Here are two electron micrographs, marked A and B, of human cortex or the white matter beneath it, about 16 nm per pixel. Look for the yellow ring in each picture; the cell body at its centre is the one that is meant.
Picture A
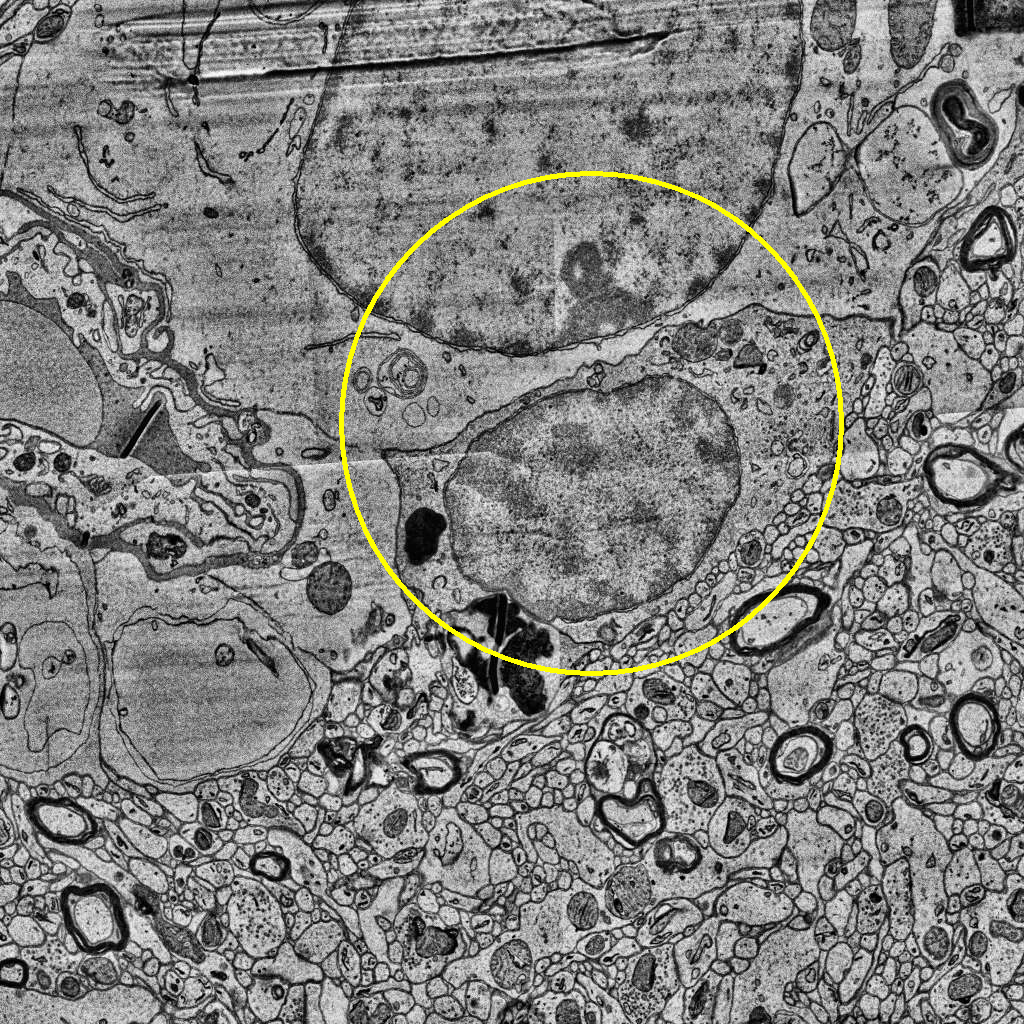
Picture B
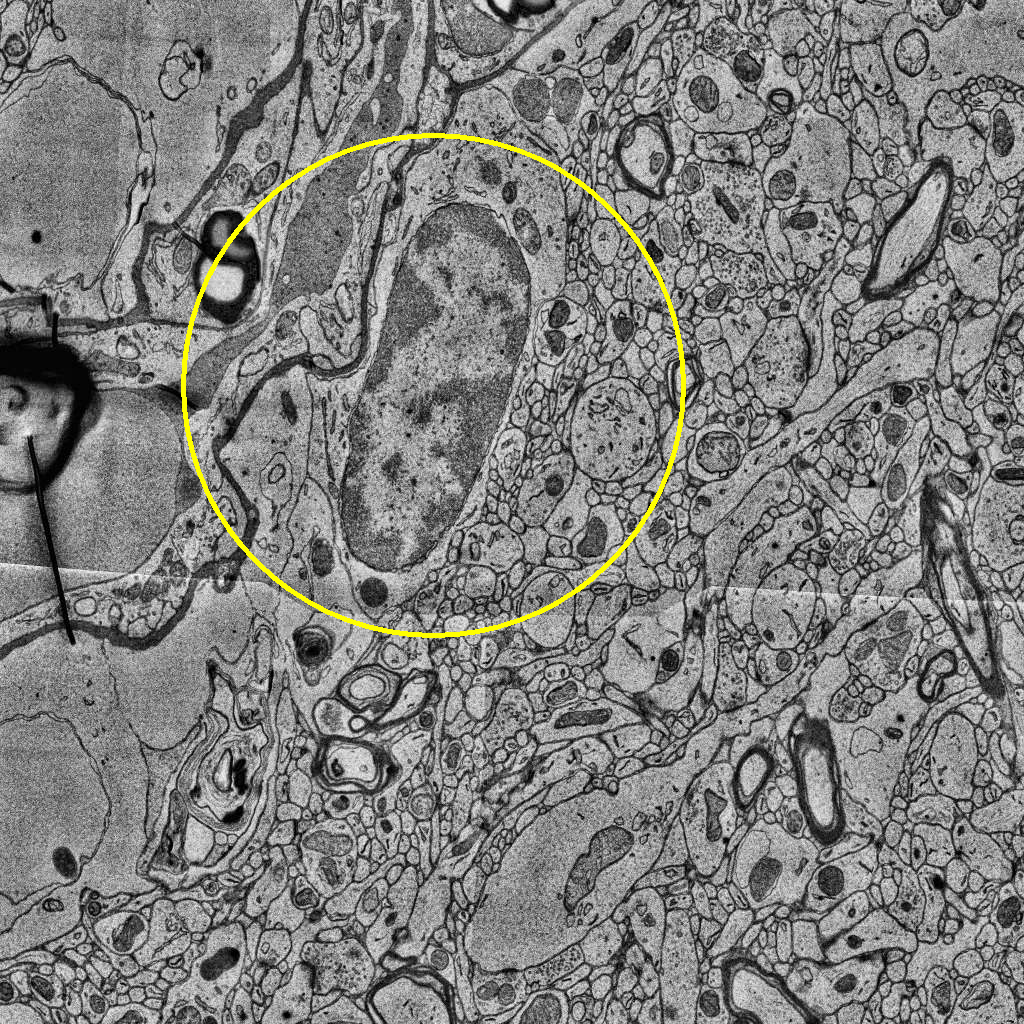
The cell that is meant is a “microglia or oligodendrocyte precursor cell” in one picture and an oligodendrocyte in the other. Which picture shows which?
In picture A the cell is an oligodendrocyte; in picture B, a “microglia or oligodendrocyte precursor cell”.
